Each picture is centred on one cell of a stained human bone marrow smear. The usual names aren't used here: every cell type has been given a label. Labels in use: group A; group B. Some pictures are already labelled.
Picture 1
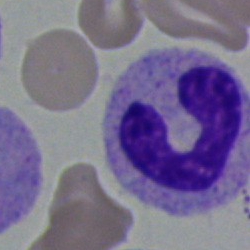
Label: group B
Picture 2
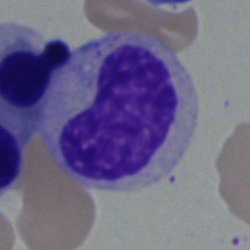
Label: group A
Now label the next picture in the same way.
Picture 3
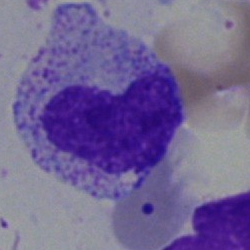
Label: group A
